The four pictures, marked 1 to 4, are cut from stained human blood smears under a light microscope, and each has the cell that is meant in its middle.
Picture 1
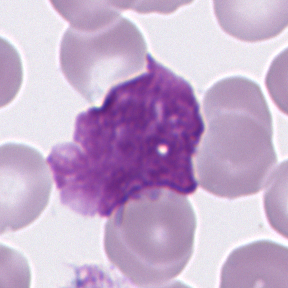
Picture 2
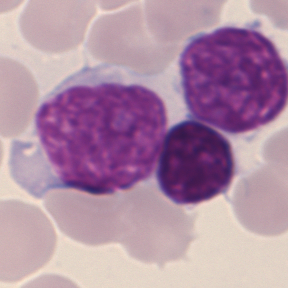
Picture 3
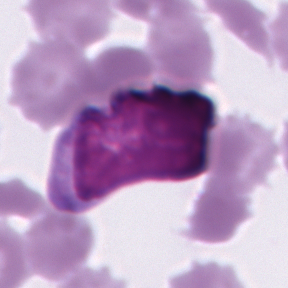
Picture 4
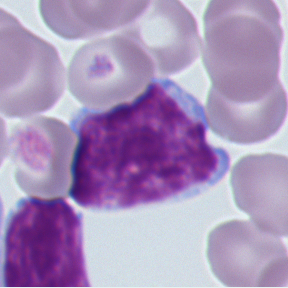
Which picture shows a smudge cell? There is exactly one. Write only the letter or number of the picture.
1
